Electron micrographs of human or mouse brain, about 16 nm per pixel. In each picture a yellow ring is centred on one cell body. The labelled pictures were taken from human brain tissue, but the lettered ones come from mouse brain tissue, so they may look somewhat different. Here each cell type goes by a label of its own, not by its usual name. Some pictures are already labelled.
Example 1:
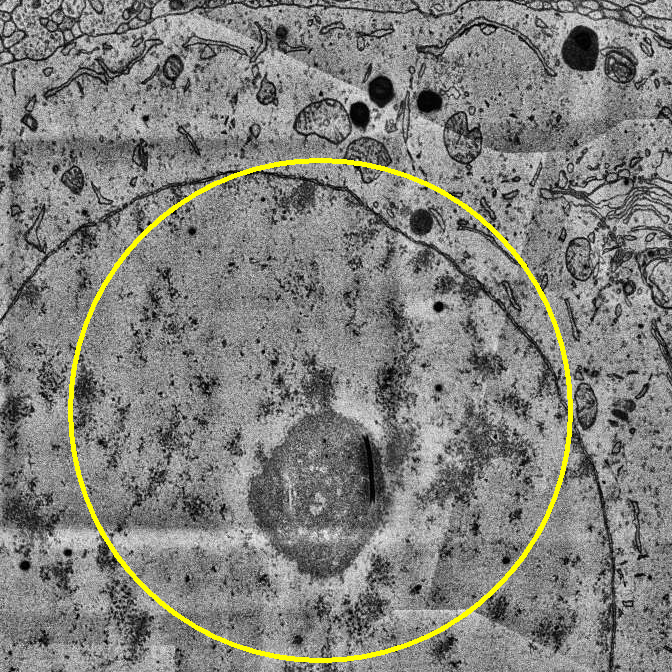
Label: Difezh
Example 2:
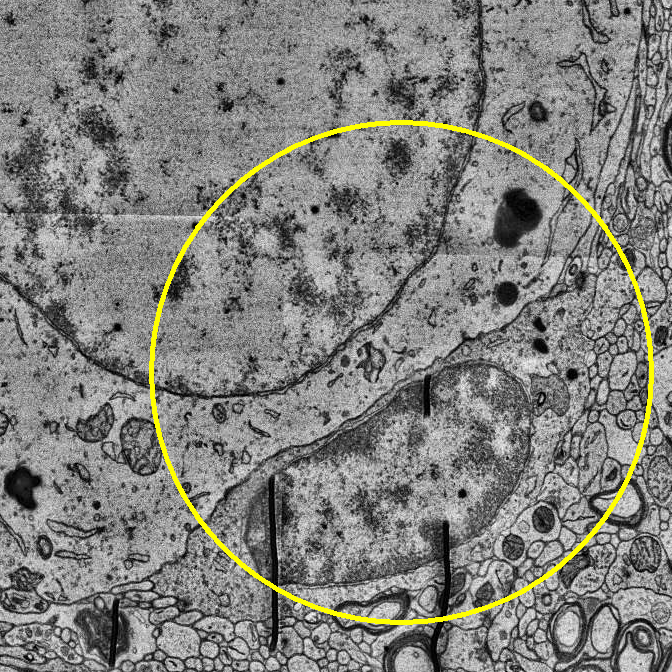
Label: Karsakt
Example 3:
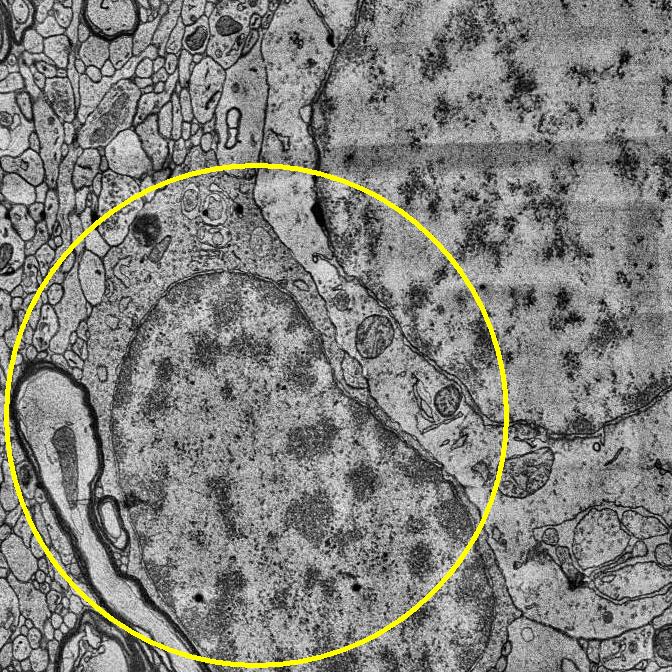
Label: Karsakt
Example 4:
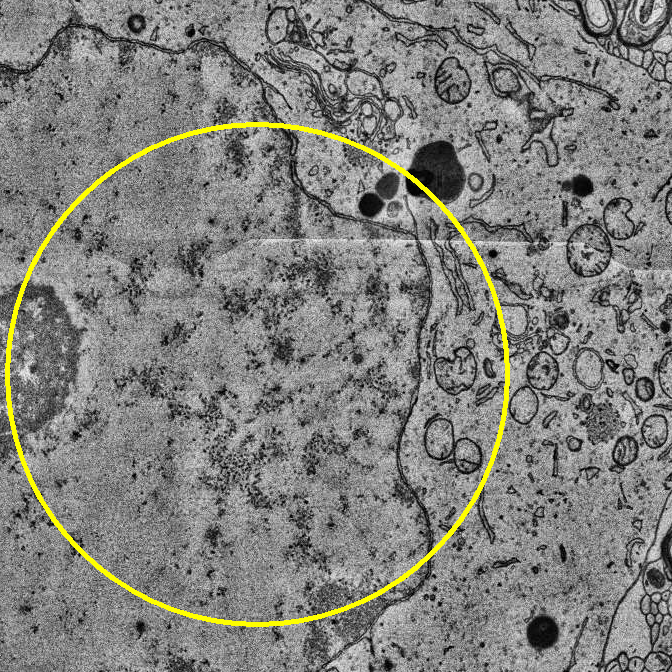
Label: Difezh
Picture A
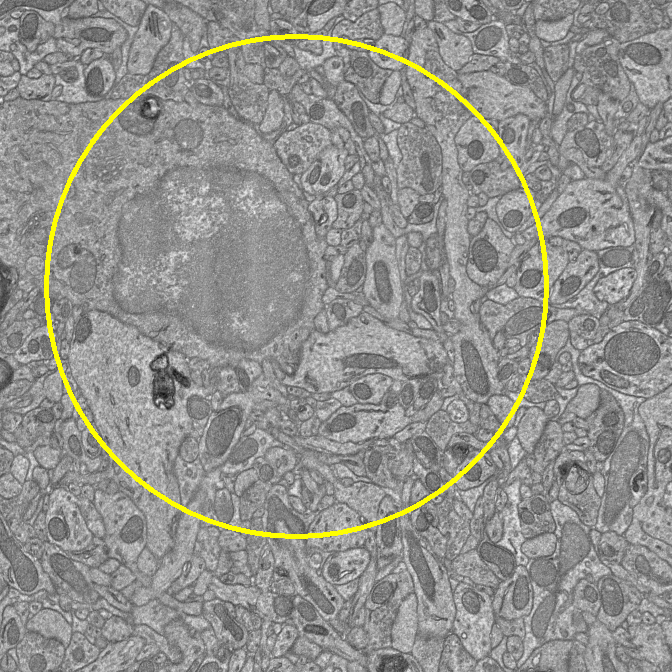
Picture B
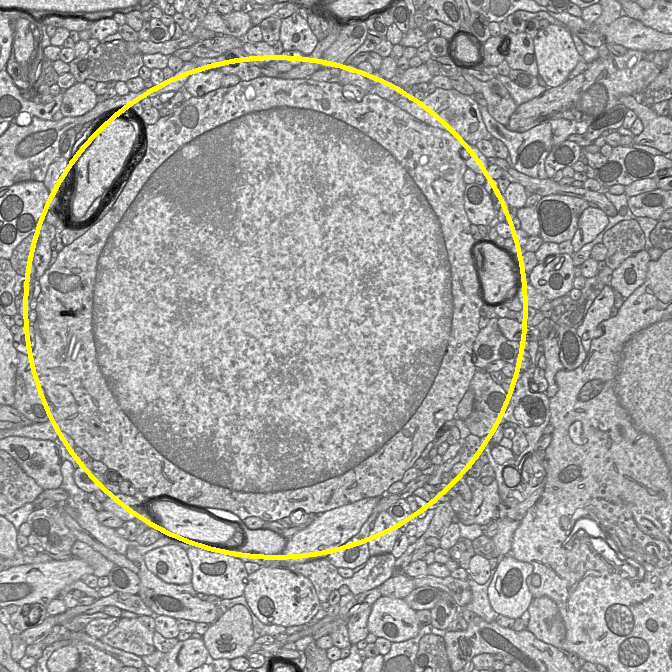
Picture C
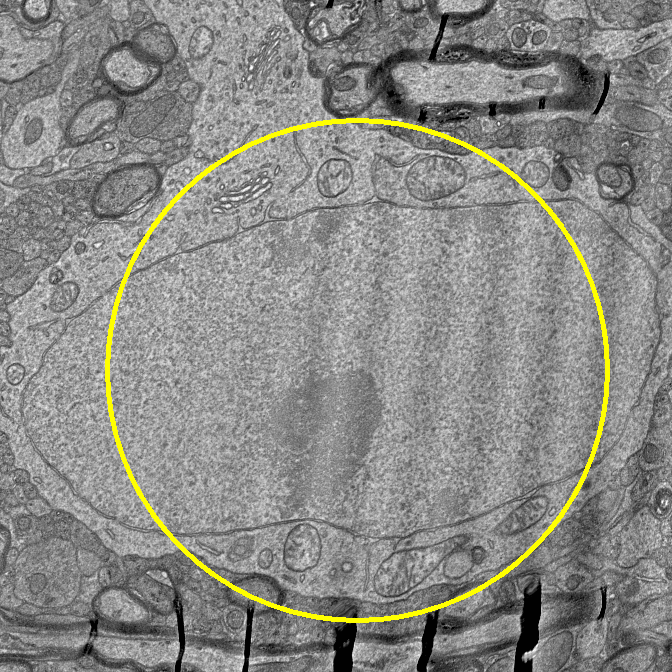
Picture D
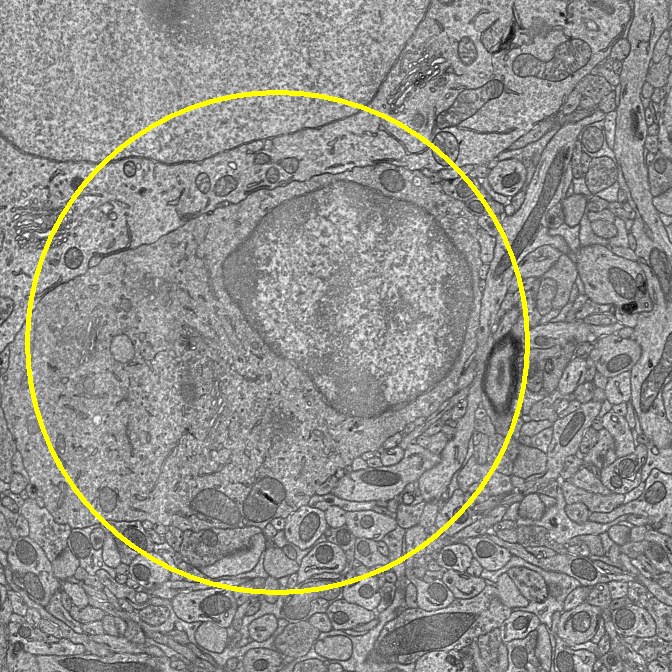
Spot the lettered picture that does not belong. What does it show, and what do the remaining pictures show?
Different: C, Difezh. Others: Karsakt.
